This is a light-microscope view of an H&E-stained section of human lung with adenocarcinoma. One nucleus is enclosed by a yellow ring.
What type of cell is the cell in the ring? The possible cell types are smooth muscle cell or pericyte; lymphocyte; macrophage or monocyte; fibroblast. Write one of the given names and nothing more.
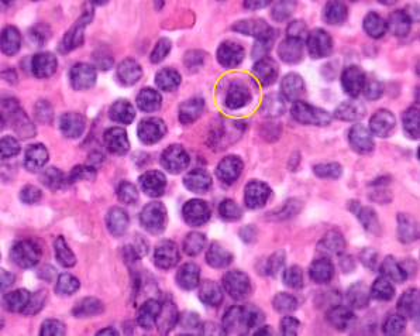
lymphocyte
